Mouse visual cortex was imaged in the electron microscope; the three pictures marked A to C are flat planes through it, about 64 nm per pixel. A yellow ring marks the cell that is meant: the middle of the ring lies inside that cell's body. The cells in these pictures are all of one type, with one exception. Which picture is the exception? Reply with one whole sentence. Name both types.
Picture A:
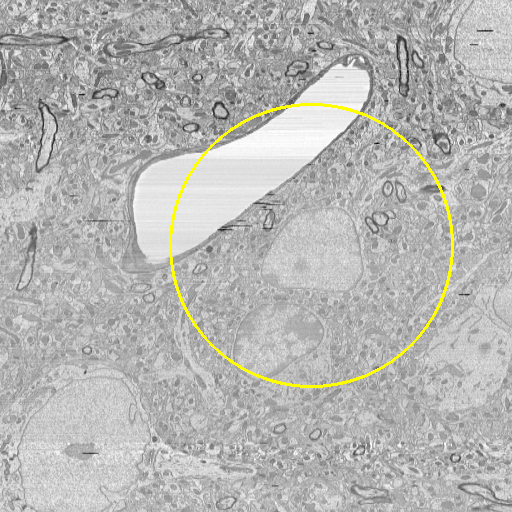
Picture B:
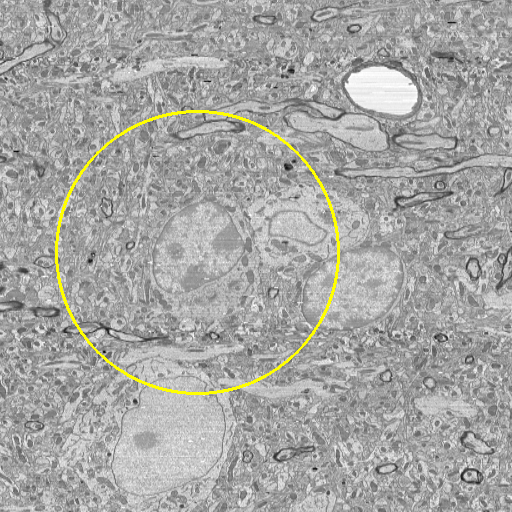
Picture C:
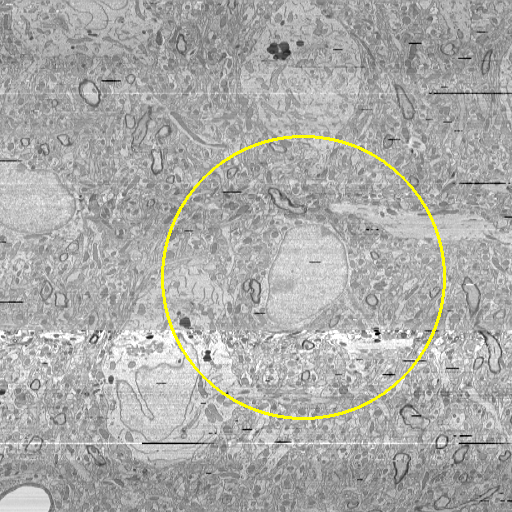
Picture B differs, because its cell is an oligodendrocyte and the rest are astrocytes.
